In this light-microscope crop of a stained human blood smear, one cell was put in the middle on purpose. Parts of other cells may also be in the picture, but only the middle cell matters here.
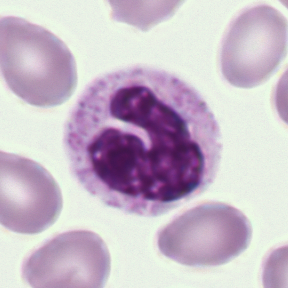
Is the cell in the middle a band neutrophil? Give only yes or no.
yes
